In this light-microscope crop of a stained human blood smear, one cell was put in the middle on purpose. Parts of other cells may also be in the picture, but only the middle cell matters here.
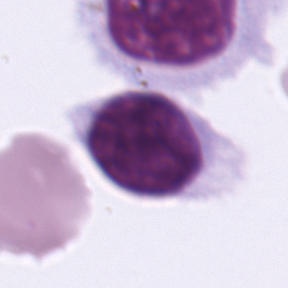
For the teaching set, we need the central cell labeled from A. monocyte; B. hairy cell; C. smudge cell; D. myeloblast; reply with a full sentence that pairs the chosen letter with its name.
The correct identification, given in option B, is that the central cell is a hairy cell.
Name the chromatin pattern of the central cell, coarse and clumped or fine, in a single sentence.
Just so you know, its chromatin is coarsely clumped.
